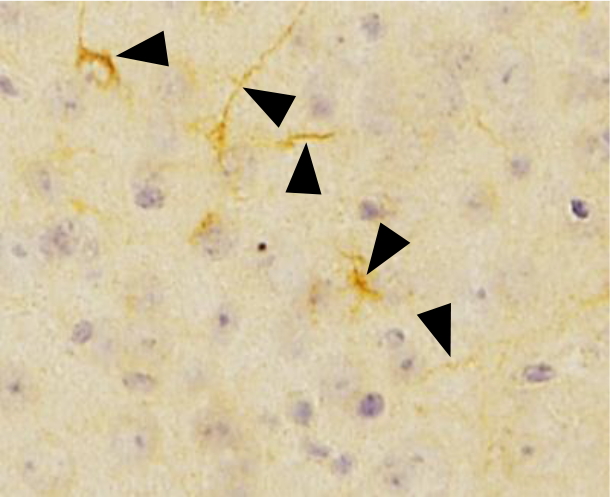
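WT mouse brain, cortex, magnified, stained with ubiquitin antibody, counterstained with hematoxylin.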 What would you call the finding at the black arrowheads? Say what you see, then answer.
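Fine brown branching threads and small brown spots lie in the pale neuropil. Blue hematoxylin nuclei lie around them without brown. That points to this answer: deposits.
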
